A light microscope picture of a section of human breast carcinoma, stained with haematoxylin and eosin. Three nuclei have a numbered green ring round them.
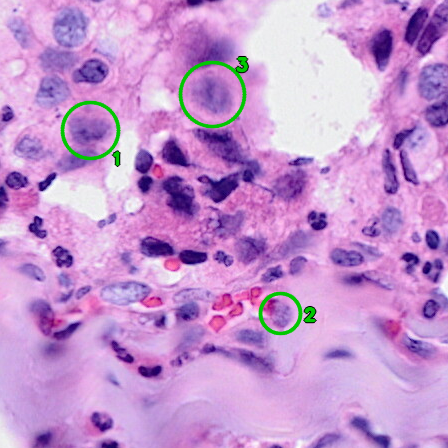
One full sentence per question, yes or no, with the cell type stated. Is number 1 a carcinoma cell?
Yes, a carcinoma cell is what the cell numbered 1 is.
